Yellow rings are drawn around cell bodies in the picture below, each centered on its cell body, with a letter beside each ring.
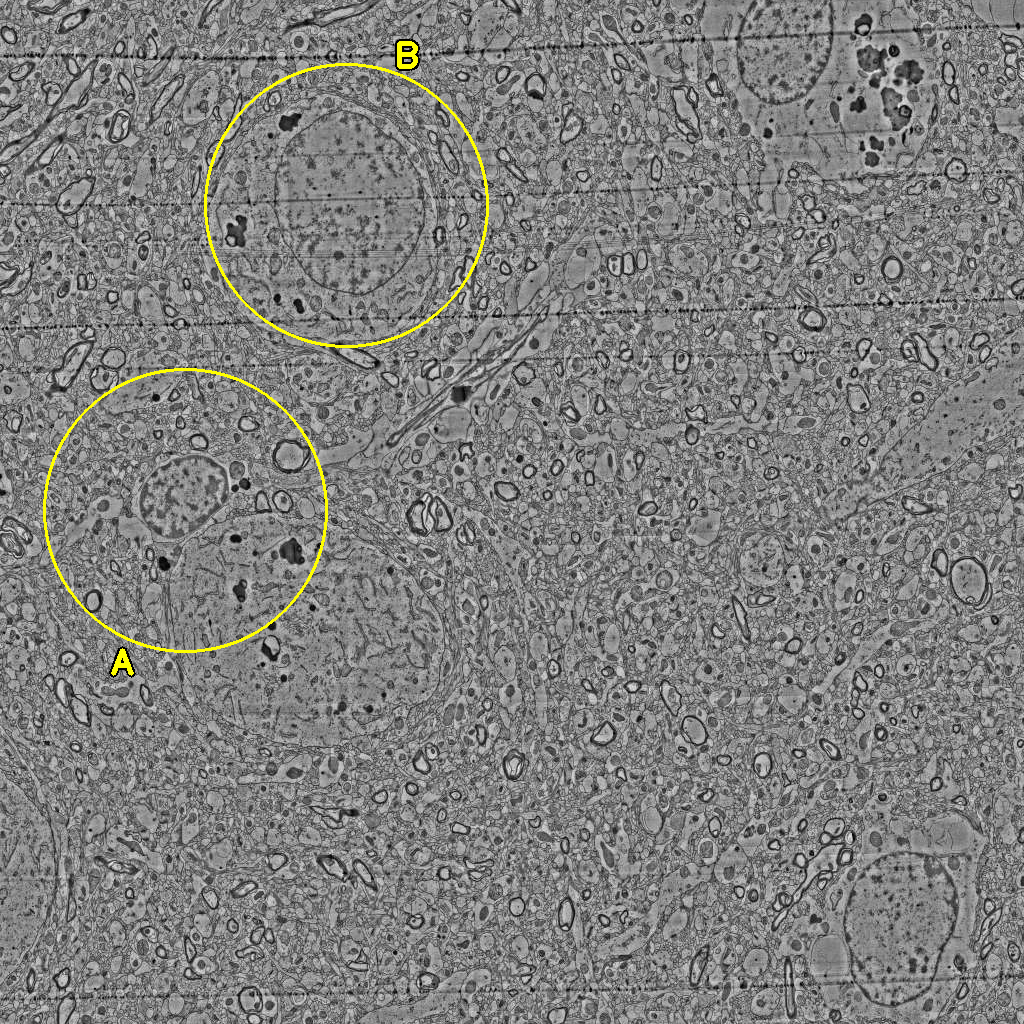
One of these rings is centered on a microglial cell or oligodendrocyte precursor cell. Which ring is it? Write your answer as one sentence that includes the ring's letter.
It is ring A.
